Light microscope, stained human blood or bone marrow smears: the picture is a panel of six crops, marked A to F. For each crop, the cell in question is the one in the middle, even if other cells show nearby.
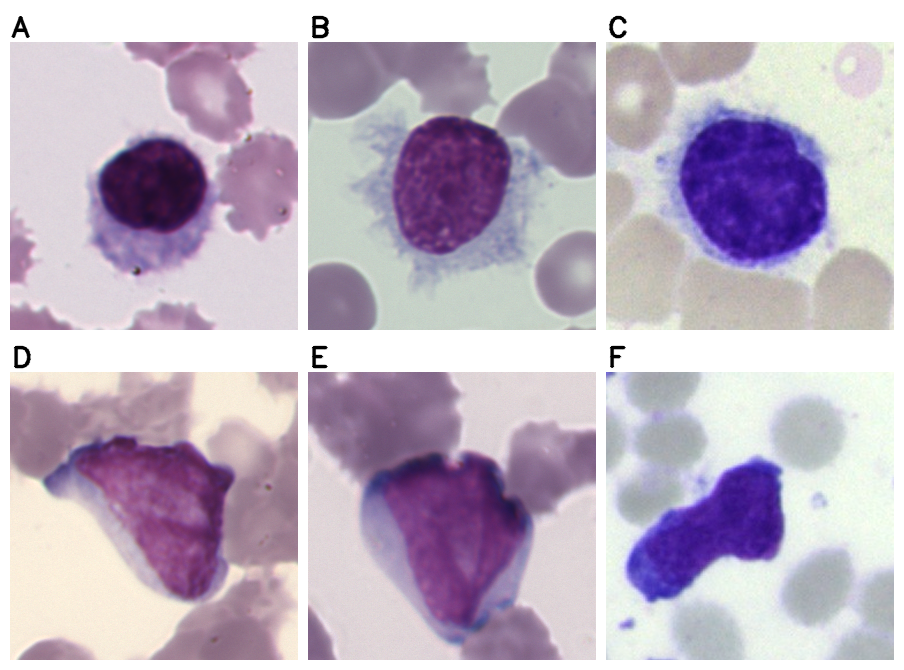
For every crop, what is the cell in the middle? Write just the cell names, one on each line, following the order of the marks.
hairy cell
hairy cell
hairy cell
blast
blast
blast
